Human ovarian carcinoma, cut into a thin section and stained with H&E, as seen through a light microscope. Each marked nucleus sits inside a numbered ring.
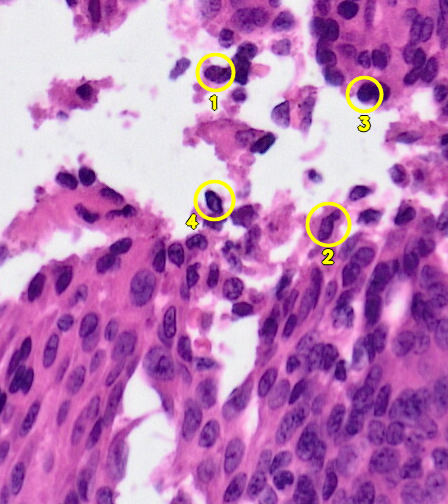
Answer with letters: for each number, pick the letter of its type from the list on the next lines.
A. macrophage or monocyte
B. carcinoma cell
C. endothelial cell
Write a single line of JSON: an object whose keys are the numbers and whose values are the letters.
{"1": "B", "2": "A", "3": "B", "4": "B"}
